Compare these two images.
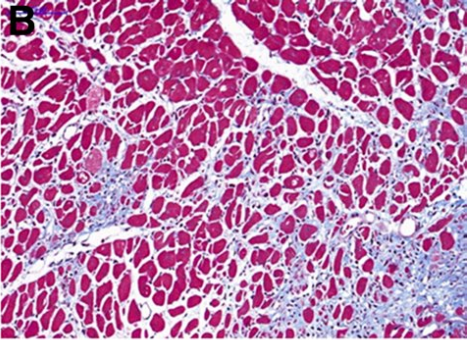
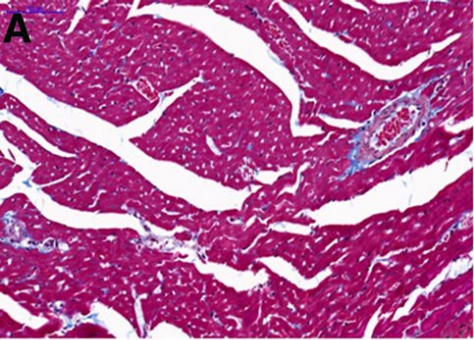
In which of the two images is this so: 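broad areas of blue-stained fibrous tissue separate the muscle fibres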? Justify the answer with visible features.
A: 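First image: wide blue-stained areas between and around the red fibres. That points to this answer: the first image.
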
